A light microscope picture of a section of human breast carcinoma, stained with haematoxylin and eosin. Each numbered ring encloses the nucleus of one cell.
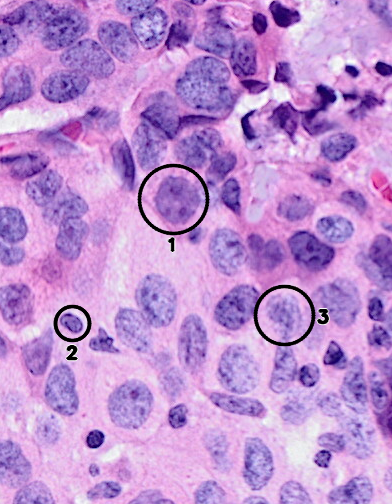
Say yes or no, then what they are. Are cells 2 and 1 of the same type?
No, cell 2 is a lymphocyte and cell 1 is a carcinoma cell.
